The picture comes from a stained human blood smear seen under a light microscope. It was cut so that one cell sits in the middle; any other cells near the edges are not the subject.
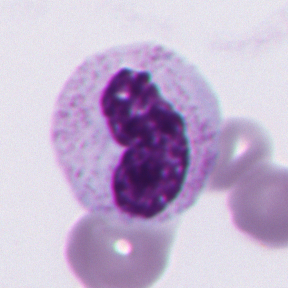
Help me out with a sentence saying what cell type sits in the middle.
Classified as a band neutrophil is the cell in the middle of this crop.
